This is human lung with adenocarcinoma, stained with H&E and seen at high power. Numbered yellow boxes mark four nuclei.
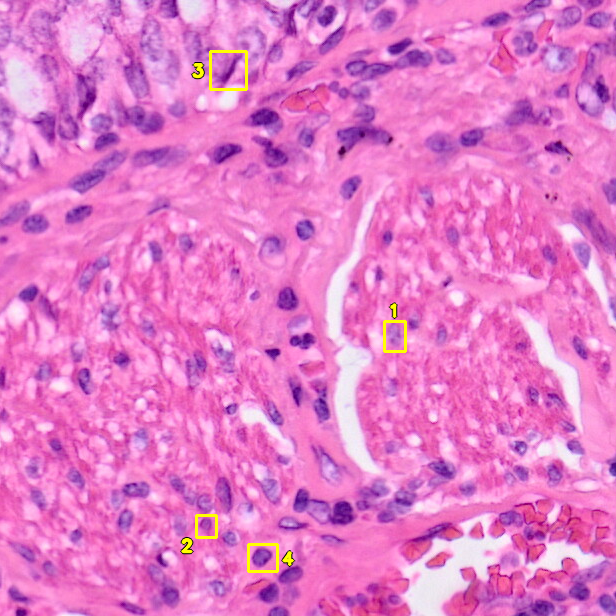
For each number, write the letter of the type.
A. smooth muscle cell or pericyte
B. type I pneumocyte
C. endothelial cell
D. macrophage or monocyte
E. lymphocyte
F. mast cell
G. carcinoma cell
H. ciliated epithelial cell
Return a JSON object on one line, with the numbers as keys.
{"1": "A", "2": "A", "3": "H", "4": "F"}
